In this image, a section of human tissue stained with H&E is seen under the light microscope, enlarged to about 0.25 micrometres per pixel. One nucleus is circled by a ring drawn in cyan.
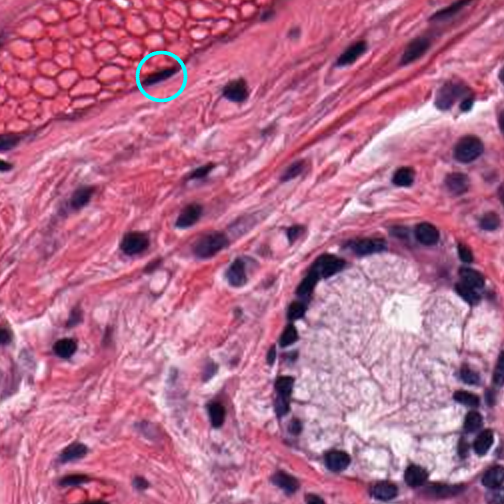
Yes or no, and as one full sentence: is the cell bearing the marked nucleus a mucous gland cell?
No, the marked nucleus belongs to a supporting cell, not to a mucous gland cell.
